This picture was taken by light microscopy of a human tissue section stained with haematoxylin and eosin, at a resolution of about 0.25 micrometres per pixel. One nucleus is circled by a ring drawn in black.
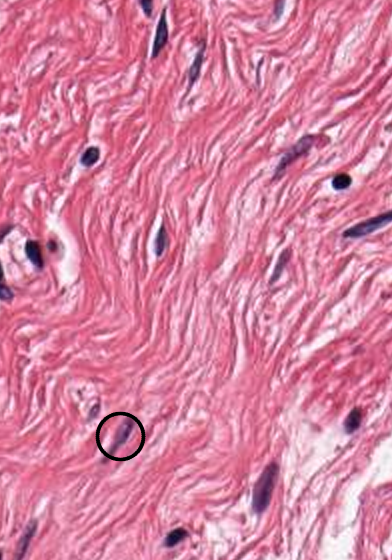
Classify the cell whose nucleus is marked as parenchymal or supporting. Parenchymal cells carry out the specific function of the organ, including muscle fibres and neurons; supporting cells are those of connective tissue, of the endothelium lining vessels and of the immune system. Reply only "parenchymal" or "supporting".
supporting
